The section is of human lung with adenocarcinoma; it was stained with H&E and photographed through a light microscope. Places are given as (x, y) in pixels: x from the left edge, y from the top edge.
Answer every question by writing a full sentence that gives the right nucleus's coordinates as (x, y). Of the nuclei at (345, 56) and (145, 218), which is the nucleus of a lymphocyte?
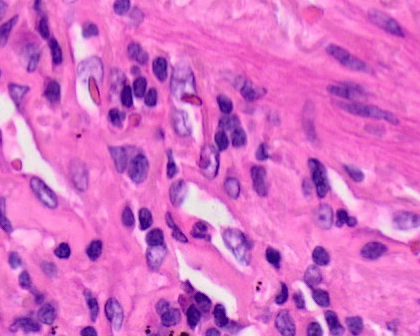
Among the two, the nucleus at (145, 218) is the nucleus of a lymphocyte.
